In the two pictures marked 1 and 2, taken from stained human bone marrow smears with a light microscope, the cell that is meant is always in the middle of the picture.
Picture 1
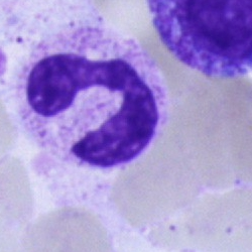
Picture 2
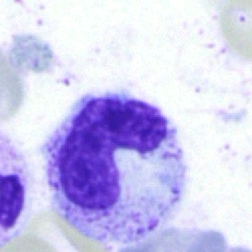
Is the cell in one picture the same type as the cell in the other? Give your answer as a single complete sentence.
Yes, they are the same type: both are band neutrophils.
